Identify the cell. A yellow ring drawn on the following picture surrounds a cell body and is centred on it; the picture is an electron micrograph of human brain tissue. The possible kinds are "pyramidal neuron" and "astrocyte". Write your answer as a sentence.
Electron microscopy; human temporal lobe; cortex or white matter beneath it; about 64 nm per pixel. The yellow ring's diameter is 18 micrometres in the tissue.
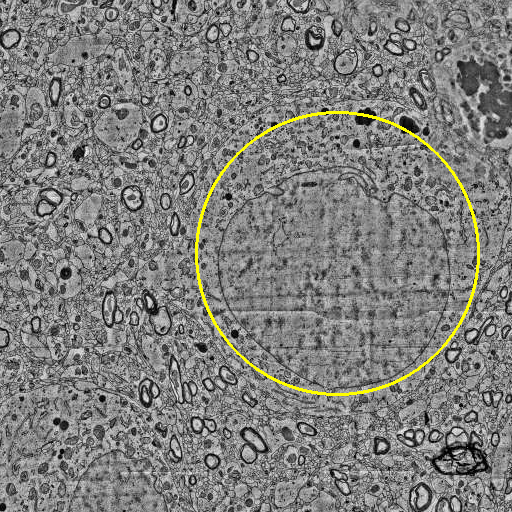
The cell identified by the ring is a pyramidal neuron.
